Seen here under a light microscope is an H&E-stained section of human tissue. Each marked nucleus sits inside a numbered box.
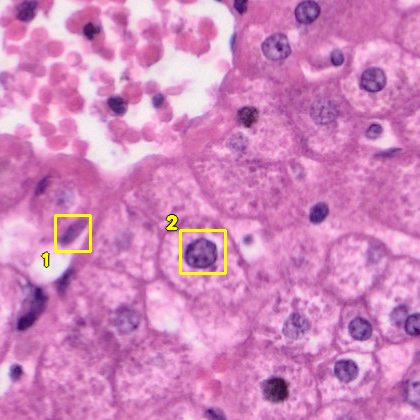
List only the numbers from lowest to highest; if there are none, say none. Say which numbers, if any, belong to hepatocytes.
2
